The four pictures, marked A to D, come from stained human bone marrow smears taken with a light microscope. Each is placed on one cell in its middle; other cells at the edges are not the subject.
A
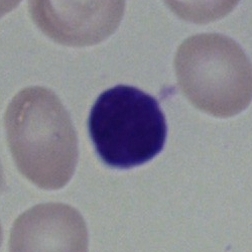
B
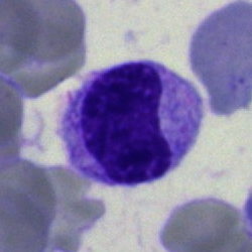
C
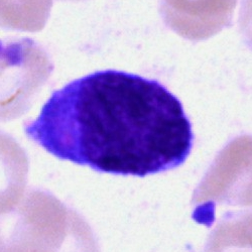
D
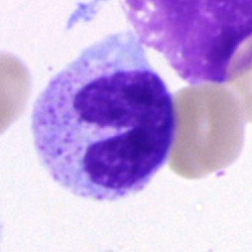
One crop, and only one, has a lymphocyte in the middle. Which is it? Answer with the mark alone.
A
